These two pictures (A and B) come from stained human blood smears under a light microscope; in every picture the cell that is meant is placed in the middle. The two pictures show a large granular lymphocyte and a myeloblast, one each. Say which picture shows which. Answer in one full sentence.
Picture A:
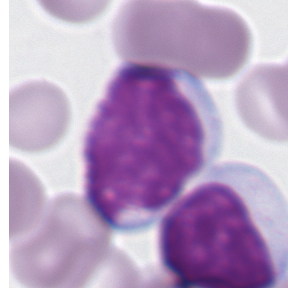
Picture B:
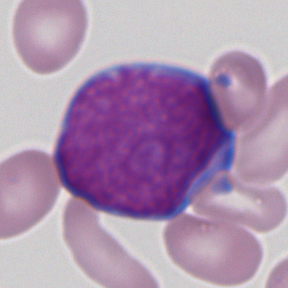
Picture A is of a large granular lymphocyte, and picture B is of a myeloblast.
